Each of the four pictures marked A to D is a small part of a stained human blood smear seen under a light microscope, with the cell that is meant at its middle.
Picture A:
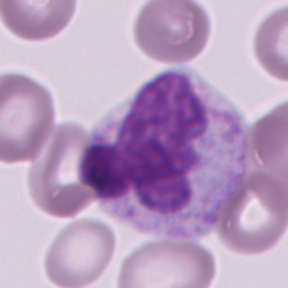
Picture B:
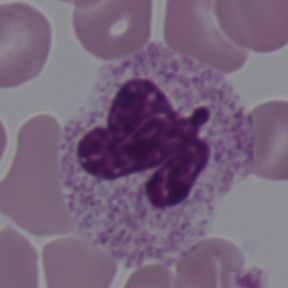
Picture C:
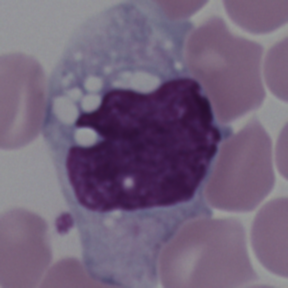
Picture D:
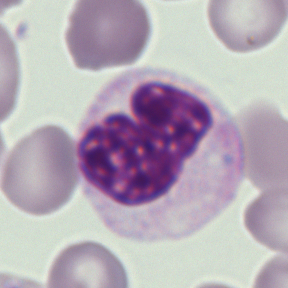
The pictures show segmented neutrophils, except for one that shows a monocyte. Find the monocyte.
C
